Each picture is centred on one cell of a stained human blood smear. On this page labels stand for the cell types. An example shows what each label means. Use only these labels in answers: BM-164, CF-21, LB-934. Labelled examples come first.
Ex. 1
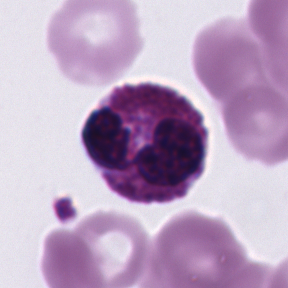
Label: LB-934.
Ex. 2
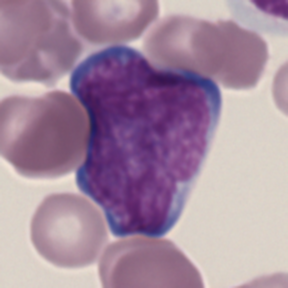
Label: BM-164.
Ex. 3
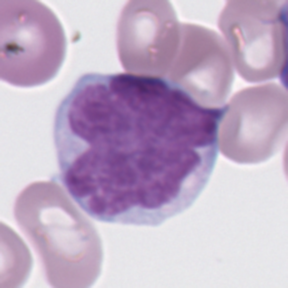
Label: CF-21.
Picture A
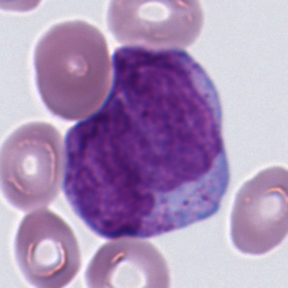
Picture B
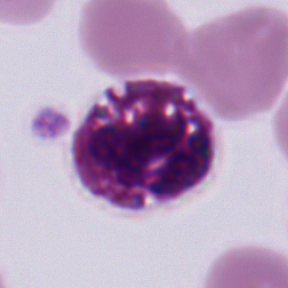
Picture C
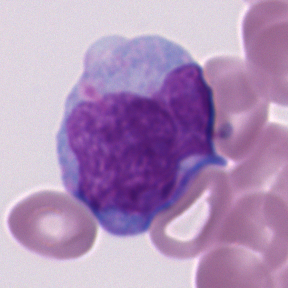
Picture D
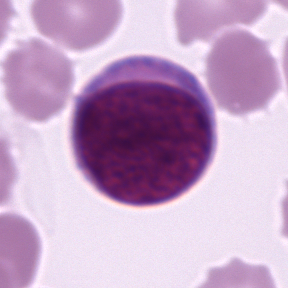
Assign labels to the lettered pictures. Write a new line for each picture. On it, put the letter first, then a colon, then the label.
A: CF-21.
B: LB-934.
C: CF-21.
D: BM-164.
